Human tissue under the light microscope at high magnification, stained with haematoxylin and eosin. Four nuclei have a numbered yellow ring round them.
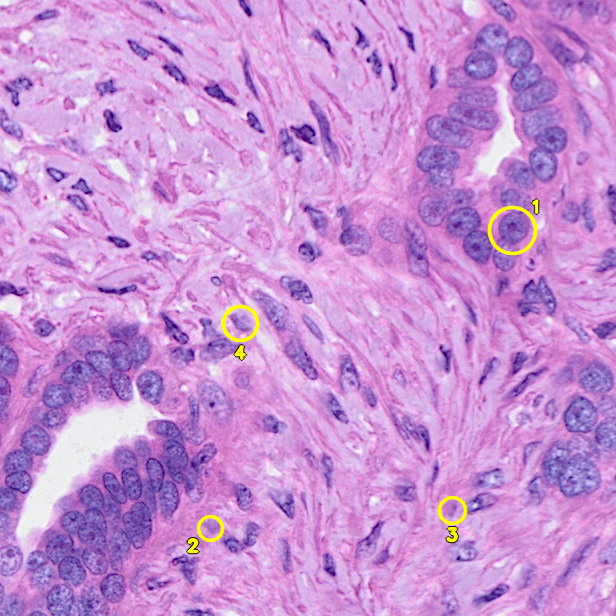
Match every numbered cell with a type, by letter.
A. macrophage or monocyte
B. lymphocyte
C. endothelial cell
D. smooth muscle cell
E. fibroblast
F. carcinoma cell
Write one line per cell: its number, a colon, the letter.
1: F
2: E
3: E
4: E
